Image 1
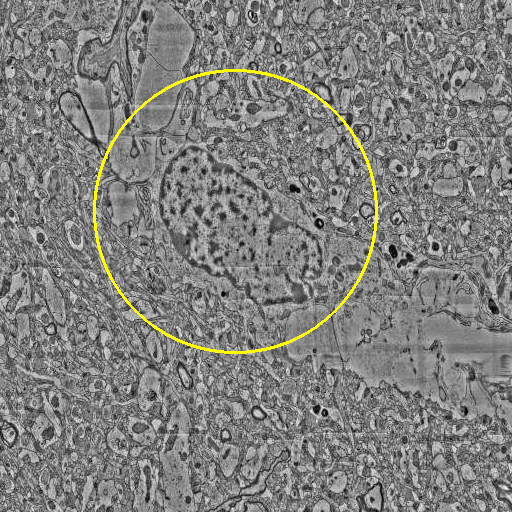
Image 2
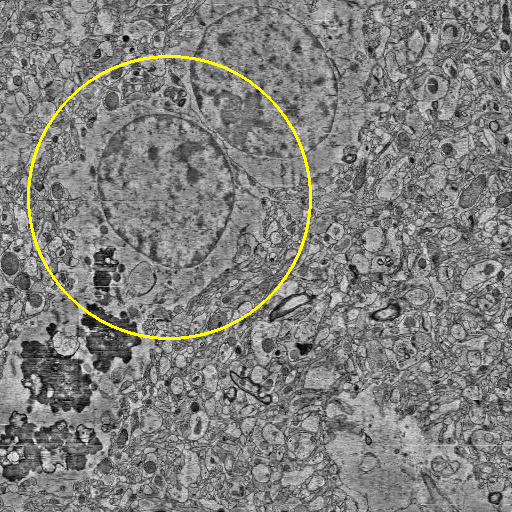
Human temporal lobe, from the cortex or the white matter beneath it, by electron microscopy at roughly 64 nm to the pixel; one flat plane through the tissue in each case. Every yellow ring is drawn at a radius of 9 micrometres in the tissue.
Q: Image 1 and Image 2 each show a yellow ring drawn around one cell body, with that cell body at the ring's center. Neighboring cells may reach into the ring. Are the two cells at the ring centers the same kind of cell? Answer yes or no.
no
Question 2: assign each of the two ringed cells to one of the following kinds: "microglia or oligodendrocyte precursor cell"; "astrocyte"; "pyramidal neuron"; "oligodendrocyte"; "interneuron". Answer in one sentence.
The two cells are a microglial cell or oligodendrocyte precursor cell in the first picture and an astrocyte in the second.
